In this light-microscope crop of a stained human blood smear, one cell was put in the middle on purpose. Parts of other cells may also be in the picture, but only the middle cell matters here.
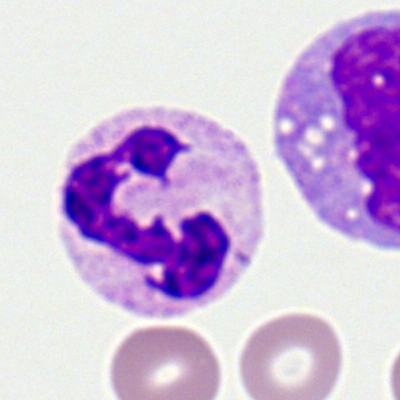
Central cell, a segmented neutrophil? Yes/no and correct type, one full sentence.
Yes, it is a segmented neutrophil that lies in the middle.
